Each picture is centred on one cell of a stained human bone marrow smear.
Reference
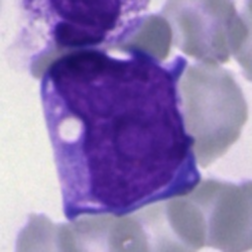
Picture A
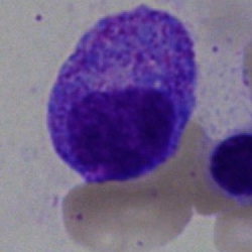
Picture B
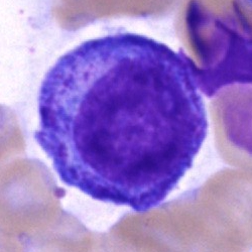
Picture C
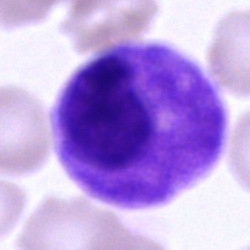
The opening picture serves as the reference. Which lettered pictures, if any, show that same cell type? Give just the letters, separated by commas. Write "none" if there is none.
none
